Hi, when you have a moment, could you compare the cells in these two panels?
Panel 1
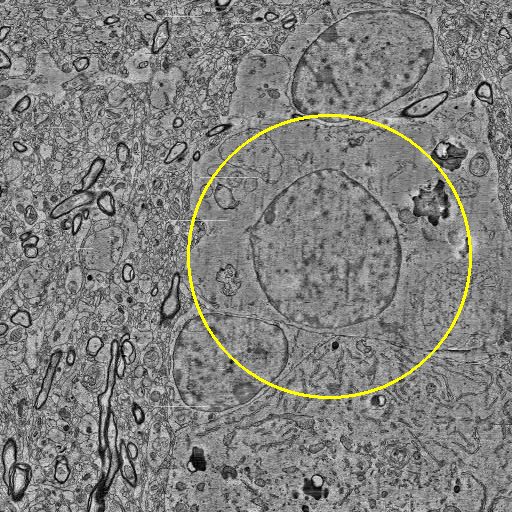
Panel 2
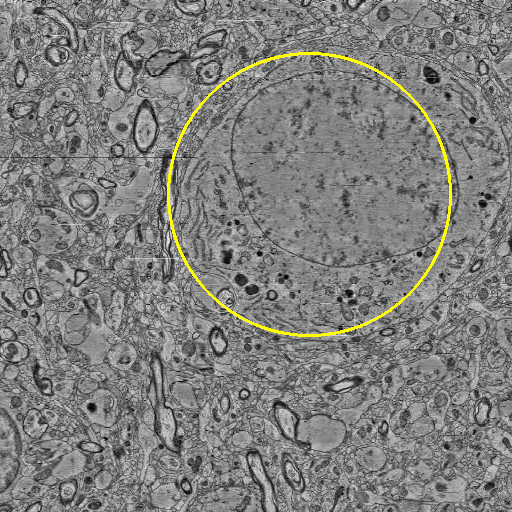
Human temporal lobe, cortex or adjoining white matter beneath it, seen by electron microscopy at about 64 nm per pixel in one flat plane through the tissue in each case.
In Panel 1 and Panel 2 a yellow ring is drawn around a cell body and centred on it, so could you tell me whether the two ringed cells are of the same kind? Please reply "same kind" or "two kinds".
two kinds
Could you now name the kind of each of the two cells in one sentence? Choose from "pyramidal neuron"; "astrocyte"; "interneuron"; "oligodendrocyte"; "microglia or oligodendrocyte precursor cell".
The first ring encloses an astrocyte; the second ring encloses a pyramidal neuron.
